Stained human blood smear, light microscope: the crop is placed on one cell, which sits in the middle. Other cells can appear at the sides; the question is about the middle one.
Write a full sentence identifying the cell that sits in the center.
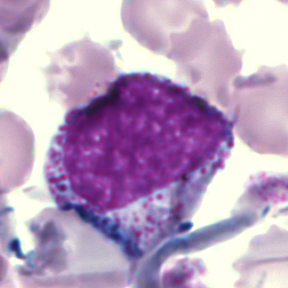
The centrally located cell in the crop is a myelocyte.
